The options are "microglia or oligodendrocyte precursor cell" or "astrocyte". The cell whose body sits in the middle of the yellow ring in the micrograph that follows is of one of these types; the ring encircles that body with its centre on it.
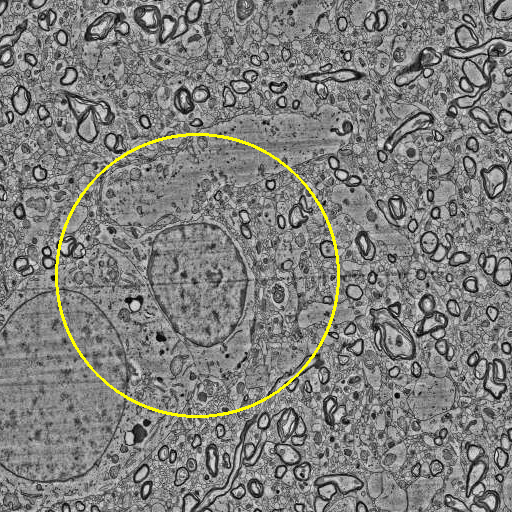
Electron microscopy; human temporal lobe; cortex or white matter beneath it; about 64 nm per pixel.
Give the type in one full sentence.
Going by the micrograph, the cell centred in the yellow ring is a microglial cell or oligodendrocyte precursor cell.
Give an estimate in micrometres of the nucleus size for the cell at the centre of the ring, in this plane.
The nucleus comes to roughly 8 by 6 micrometres in this plane.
